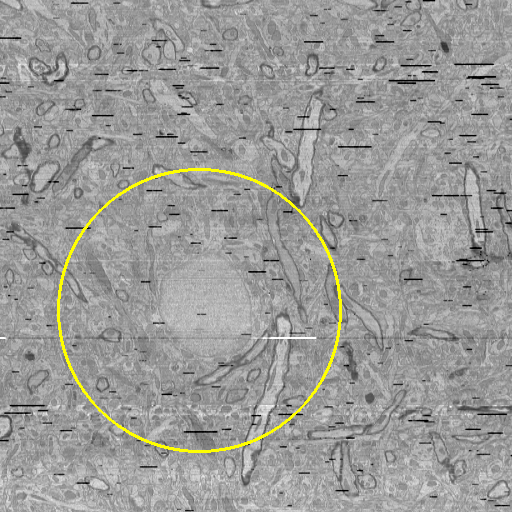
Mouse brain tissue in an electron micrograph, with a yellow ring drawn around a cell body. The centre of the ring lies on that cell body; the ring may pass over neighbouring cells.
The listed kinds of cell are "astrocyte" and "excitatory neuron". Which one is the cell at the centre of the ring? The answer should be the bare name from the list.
astrocyte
